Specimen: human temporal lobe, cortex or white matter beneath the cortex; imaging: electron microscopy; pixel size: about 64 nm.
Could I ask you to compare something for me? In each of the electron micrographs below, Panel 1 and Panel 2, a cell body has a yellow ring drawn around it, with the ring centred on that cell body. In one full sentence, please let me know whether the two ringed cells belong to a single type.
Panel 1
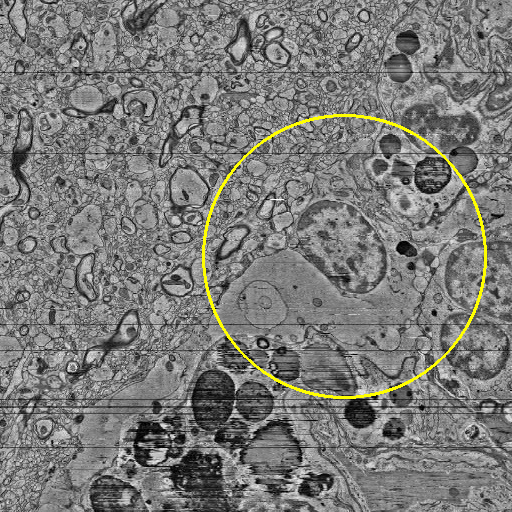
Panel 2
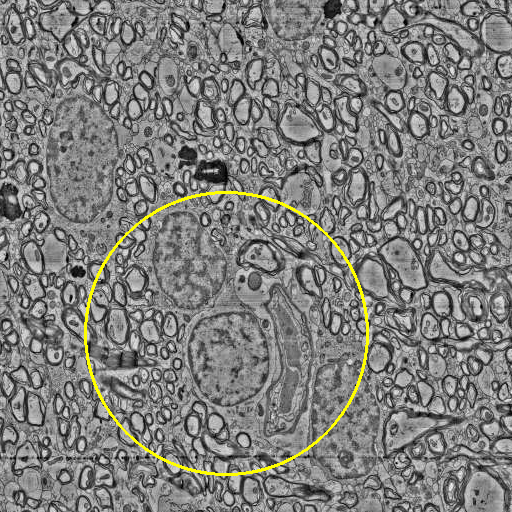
Yes, the two cells at the centres of the rings are of one type.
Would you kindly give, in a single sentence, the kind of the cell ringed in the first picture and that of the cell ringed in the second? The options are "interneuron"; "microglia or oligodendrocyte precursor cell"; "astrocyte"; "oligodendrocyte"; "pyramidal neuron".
Each of the two cells is a microglial cell or oligodendrocyte precursor cell.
